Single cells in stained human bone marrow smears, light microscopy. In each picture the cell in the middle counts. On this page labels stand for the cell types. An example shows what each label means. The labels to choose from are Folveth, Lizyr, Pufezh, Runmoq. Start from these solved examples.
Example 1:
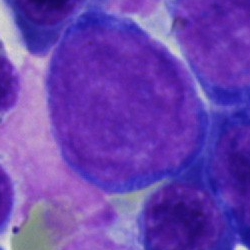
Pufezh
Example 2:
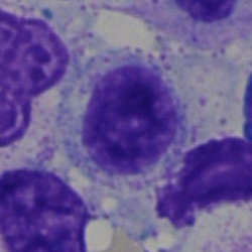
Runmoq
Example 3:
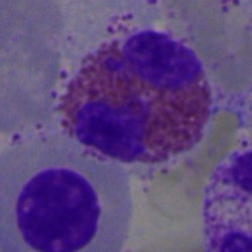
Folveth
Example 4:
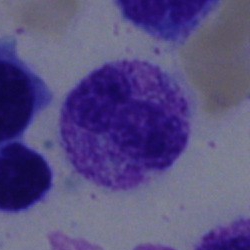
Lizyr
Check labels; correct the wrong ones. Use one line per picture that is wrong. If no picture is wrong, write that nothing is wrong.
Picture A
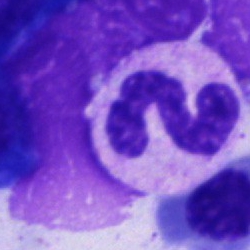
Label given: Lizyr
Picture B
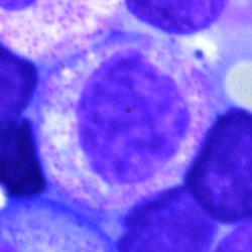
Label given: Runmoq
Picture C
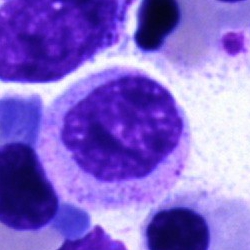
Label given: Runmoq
Every label is right.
